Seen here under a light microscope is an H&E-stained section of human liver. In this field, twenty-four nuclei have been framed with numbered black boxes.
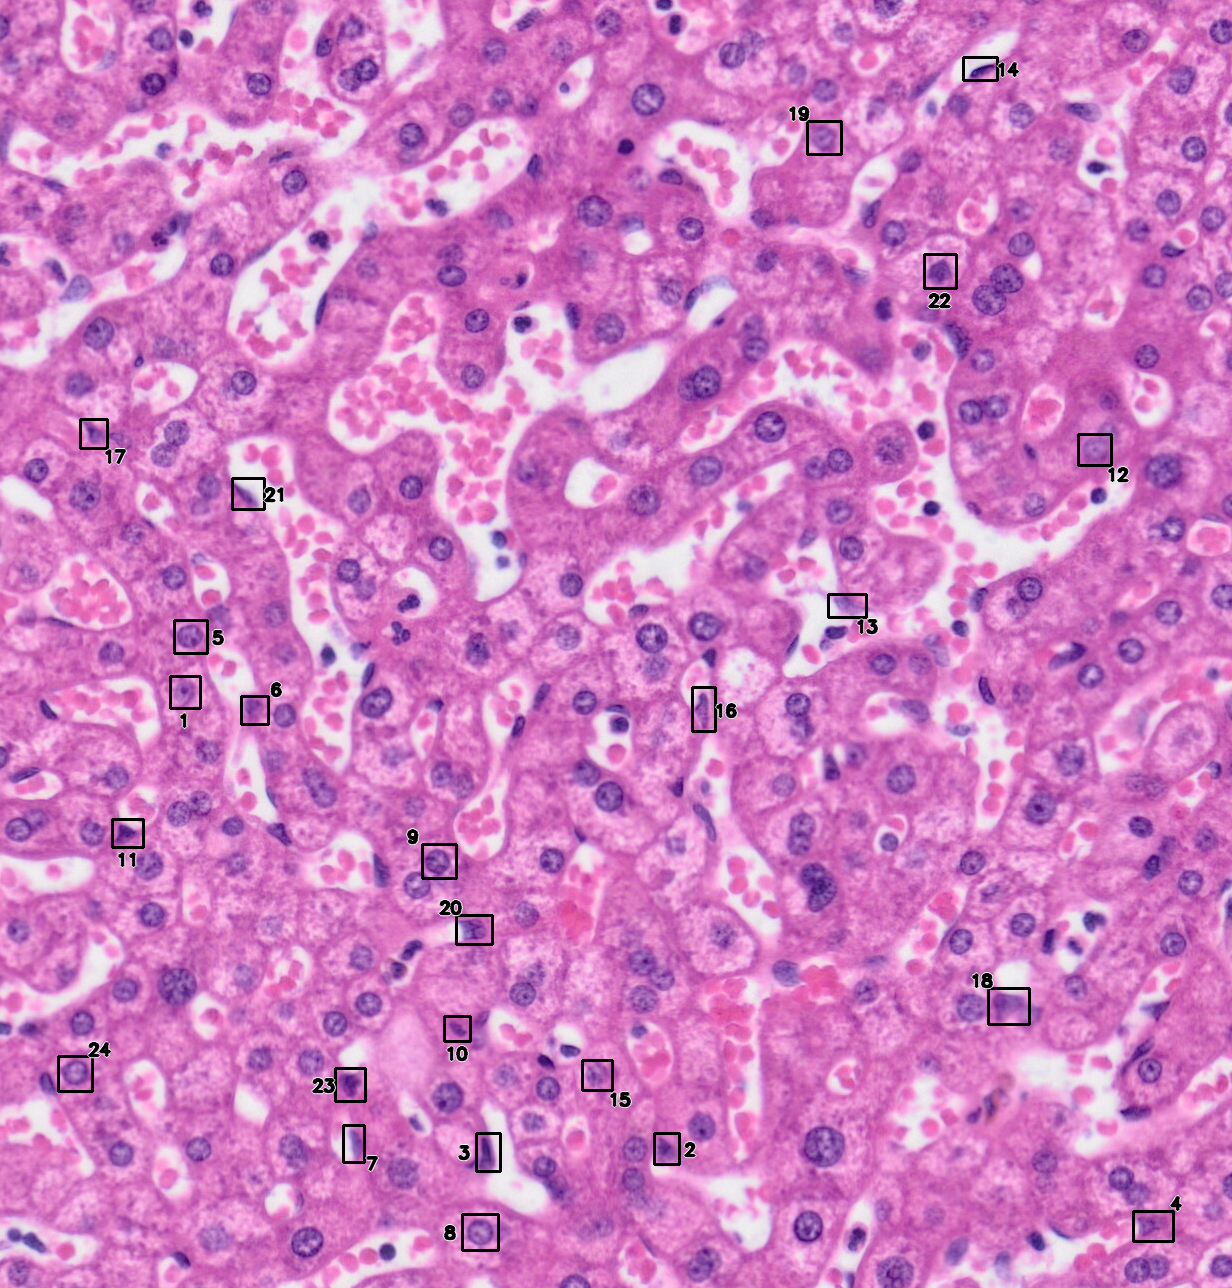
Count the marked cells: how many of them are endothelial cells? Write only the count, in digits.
7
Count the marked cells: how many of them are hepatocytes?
9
